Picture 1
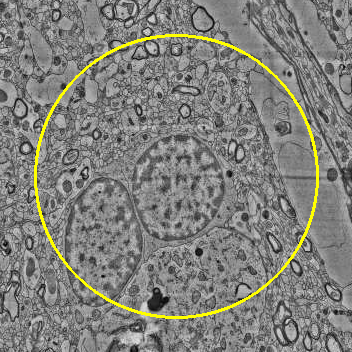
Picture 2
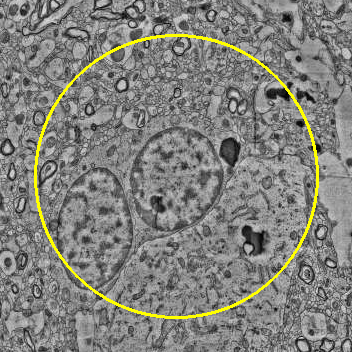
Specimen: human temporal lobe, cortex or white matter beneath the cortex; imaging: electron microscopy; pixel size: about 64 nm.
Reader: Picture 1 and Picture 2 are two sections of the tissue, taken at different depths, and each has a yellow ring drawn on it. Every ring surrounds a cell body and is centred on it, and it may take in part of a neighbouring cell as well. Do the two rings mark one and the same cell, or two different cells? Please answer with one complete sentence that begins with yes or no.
Yes, the same cell appears within both yellow rings.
